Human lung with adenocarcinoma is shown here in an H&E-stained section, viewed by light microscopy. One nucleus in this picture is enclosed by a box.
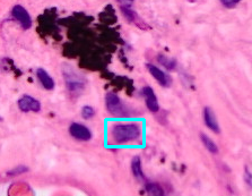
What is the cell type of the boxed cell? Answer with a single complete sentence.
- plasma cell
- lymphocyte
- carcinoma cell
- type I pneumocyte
As a matter of cell type, the boxed cell is a plasma cell.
